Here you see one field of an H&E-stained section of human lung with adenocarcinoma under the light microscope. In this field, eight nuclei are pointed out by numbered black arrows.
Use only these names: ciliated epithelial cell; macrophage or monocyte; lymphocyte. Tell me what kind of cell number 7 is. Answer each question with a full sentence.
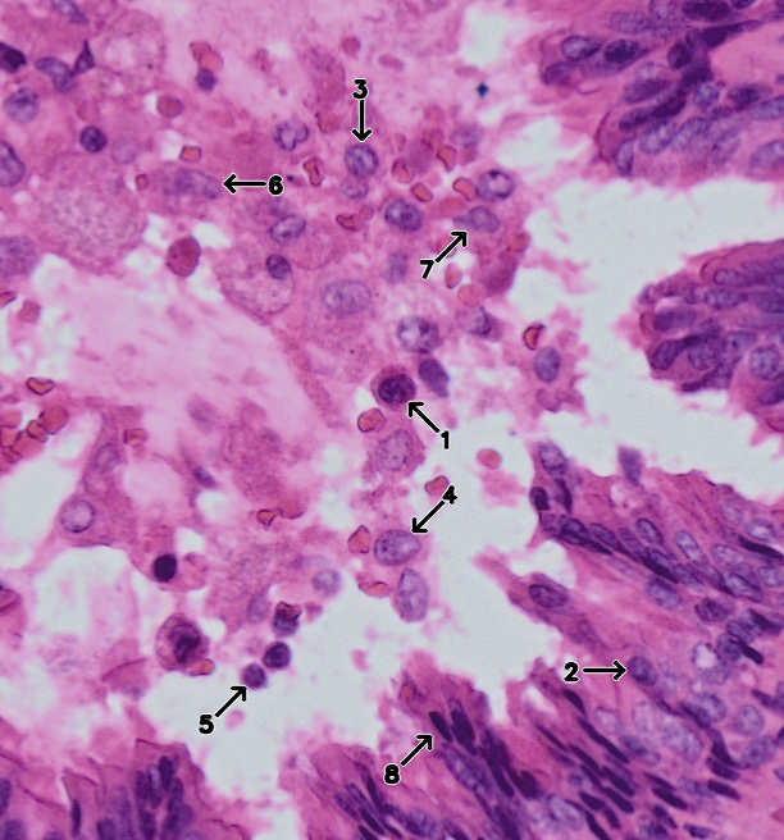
The numbered cell 7 in this field is a macrophage or monocyte.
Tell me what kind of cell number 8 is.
The cell with the number 8 is a ciliated epithelial cell.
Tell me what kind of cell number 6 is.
The cell to which the number 6 is assigned is a macrophage or monocyte.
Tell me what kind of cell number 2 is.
Cell 2 in the field is a ciliated epithelial cell.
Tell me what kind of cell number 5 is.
Cell 5, among those numbered, is a lymphocyte.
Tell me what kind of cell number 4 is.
Numbered cell 4 is a macrophage or monocyte in this tissue section.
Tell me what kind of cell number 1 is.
Denoted by the label 1 in the section is a macrophage or monocyte.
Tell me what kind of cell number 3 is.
Belonging to a macrophage or monocyte is the nucleus that carries the number 3.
